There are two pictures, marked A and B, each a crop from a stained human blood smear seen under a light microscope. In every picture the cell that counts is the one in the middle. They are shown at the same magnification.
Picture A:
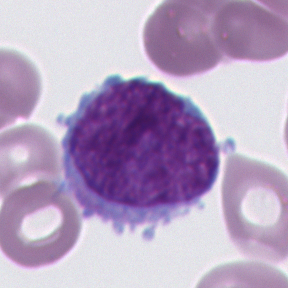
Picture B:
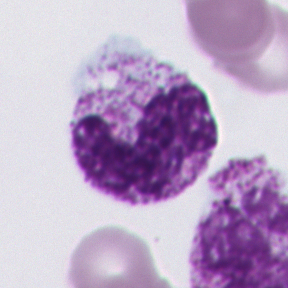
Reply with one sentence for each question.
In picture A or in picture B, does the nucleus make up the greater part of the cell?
In picture A the nucleus takes up the larger part of its cell.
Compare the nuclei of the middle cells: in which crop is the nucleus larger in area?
The nucleus in picture A is larger, with about 1.5 times the area of the one in picture B.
